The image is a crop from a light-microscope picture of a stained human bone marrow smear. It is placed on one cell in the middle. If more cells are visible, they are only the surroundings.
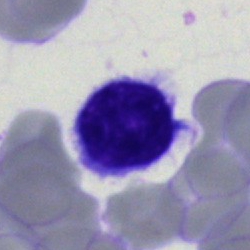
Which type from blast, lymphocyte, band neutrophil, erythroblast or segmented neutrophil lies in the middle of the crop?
lymphocyte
